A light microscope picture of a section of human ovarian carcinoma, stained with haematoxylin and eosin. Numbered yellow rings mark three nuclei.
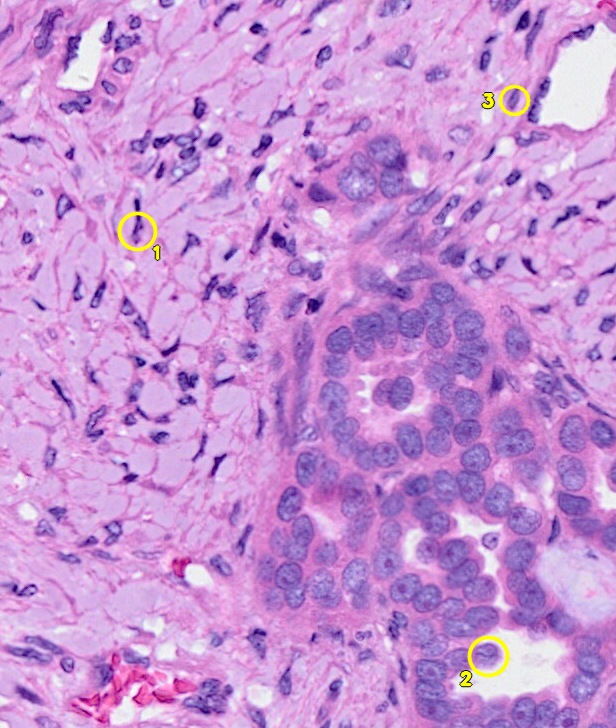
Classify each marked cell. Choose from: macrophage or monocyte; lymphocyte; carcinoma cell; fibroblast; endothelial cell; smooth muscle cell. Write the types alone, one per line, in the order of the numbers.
fibroblast
carcinoma cell
fibroblast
